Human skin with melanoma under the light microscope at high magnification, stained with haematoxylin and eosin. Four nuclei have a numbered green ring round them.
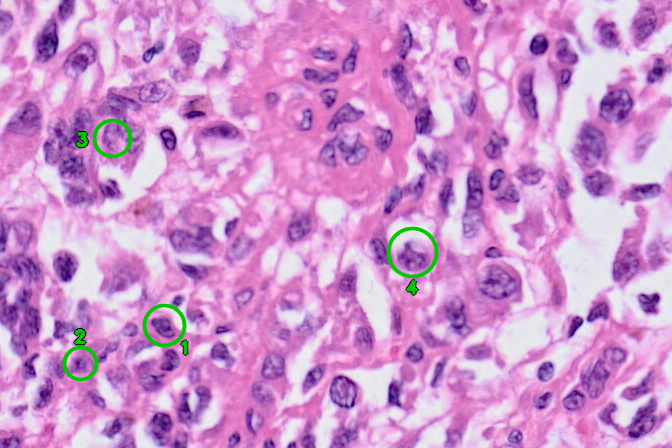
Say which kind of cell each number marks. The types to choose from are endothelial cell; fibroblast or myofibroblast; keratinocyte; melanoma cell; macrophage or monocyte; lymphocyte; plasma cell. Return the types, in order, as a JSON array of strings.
["macrophage or monocyte", "melanoma cell", "melanoma cell", "melanoma cell"]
